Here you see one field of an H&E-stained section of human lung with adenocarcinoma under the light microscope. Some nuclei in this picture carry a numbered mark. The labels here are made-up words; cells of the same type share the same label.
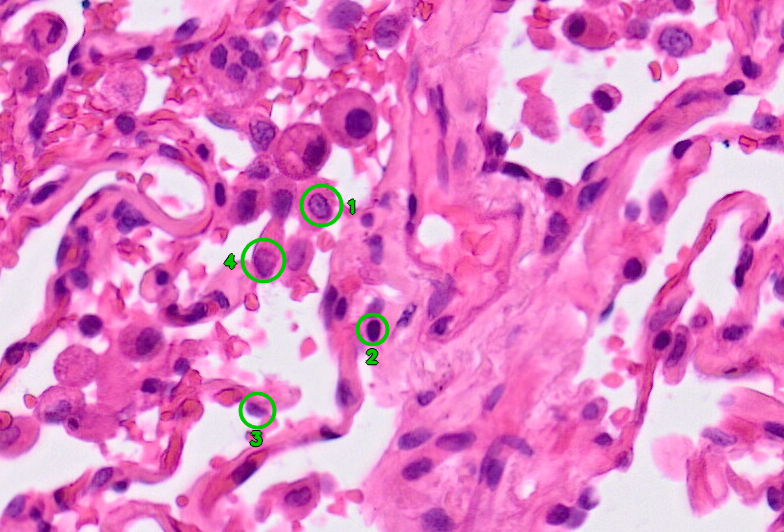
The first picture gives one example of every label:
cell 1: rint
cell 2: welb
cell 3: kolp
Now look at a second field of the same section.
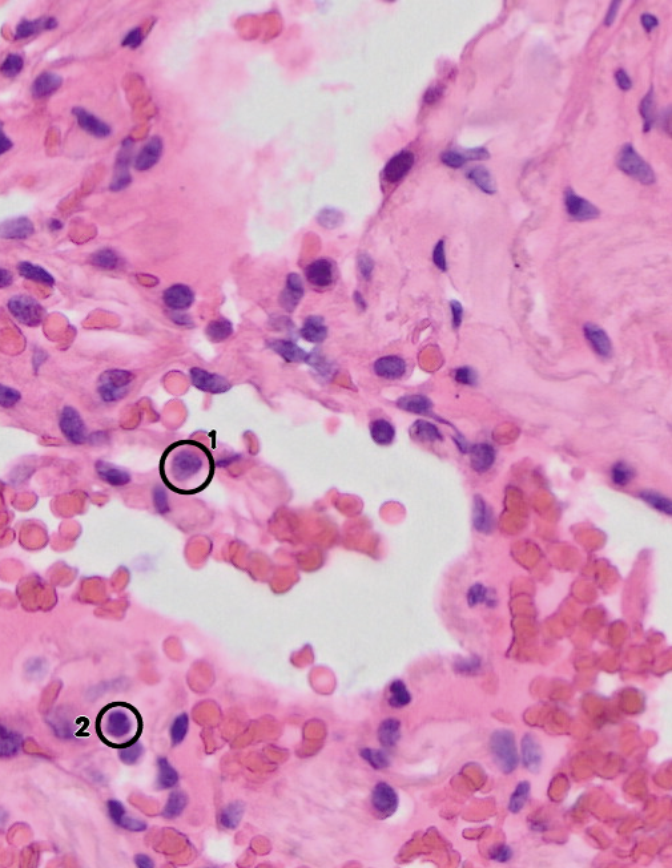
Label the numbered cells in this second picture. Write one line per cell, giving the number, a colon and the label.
1: kolp
2: welb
